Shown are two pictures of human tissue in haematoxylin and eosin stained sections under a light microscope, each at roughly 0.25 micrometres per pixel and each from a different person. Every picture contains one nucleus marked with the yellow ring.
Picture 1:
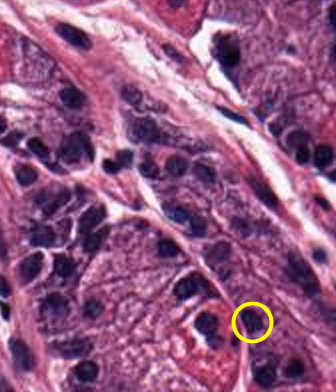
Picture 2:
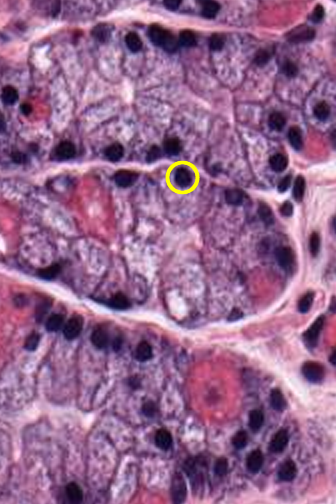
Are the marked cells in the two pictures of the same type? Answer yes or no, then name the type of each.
Yes, both are chief cells.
